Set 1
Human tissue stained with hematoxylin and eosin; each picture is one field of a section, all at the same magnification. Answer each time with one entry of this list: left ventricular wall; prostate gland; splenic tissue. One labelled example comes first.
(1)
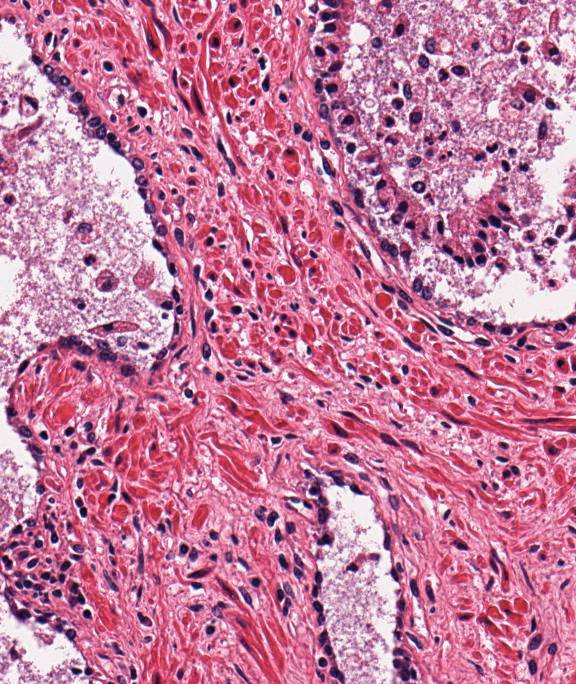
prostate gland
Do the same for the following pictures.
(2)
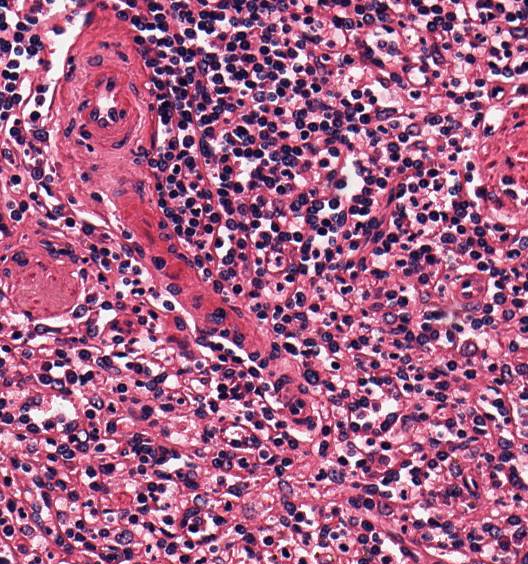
splenic tissue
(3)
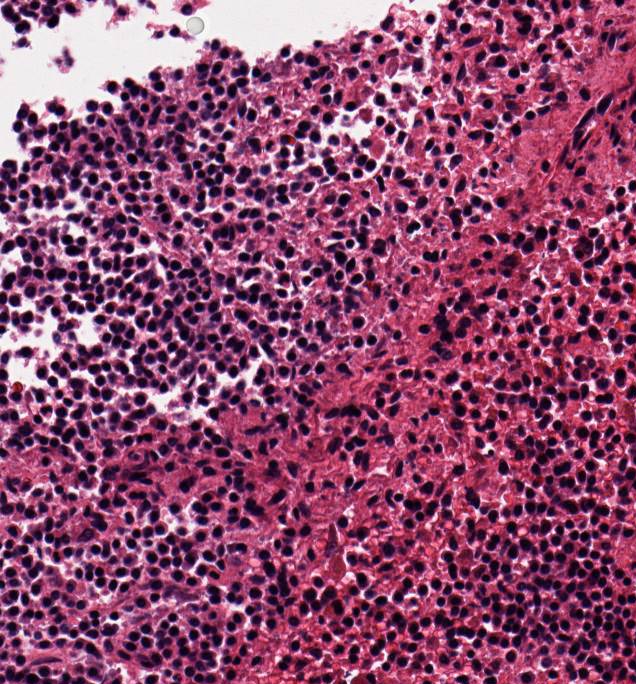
splenic tissue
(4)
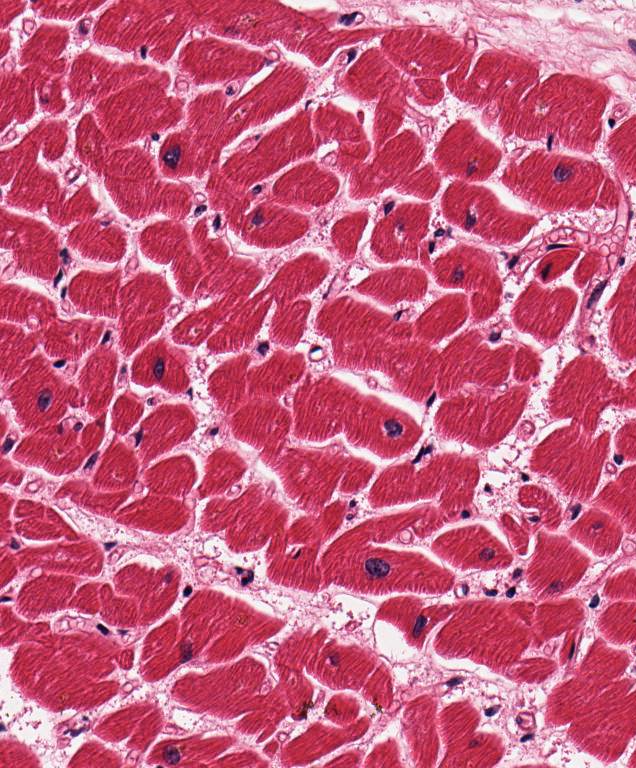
left ventricular wall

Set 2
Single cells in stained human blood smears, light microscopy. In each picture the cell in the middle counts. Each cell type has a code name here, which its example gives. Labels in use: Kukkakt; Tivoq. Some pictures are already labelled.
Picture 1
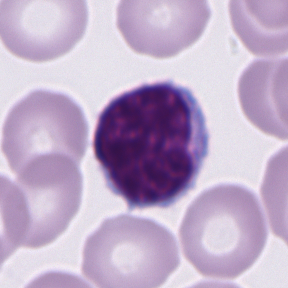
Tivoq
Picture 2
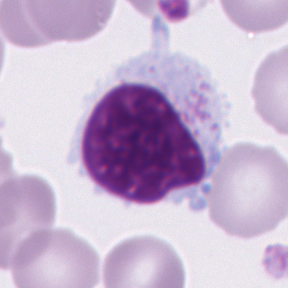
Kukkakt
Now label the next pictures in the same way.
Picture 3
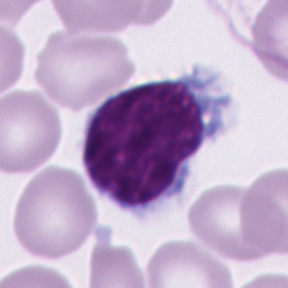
Tivoq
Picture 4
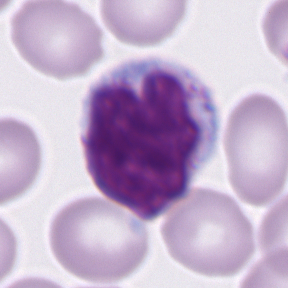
Kukkakt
